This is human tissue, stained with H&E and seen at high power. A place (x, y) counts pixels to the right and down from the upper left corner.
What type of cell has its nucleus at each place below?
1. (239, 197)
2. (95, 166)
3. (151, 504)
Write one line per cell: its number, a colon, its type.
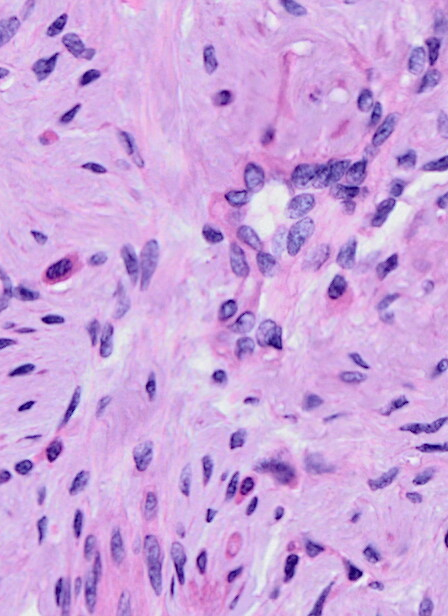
1: endothelial cell
2: fibroblast
3: smooth muscle cell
